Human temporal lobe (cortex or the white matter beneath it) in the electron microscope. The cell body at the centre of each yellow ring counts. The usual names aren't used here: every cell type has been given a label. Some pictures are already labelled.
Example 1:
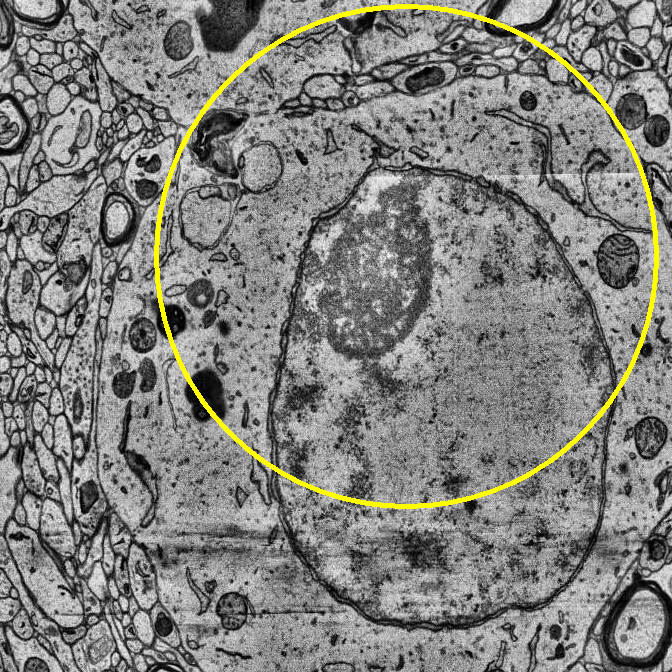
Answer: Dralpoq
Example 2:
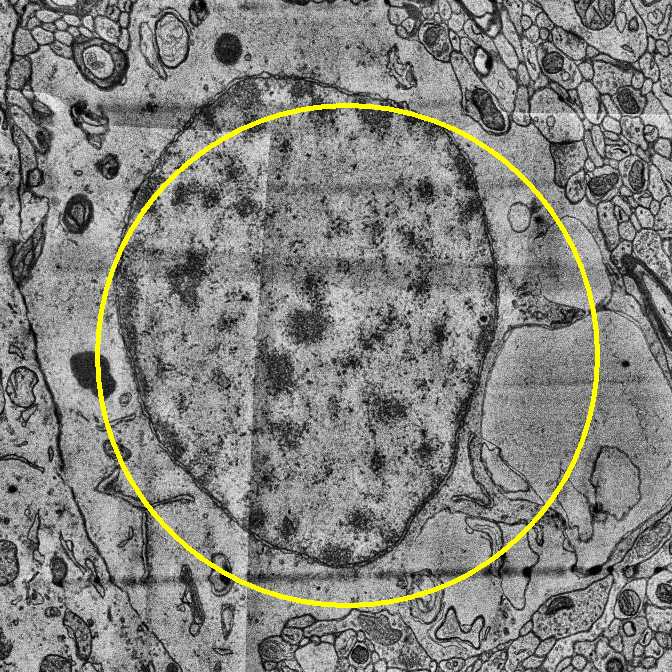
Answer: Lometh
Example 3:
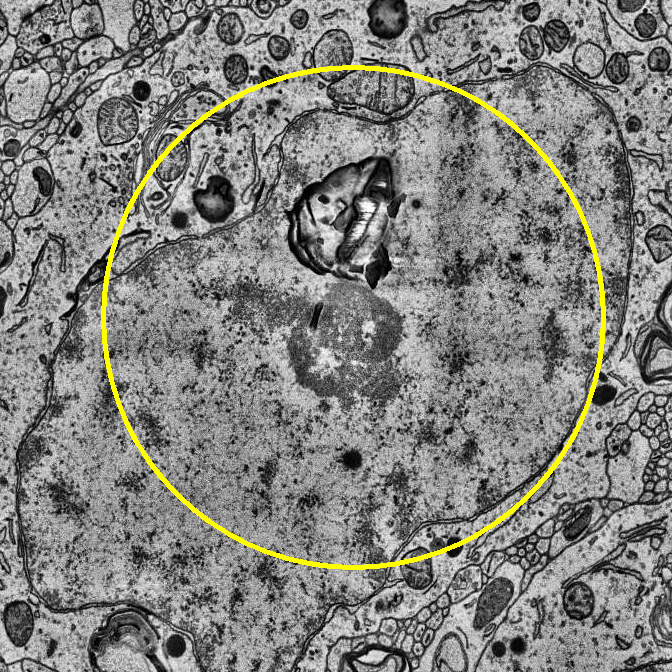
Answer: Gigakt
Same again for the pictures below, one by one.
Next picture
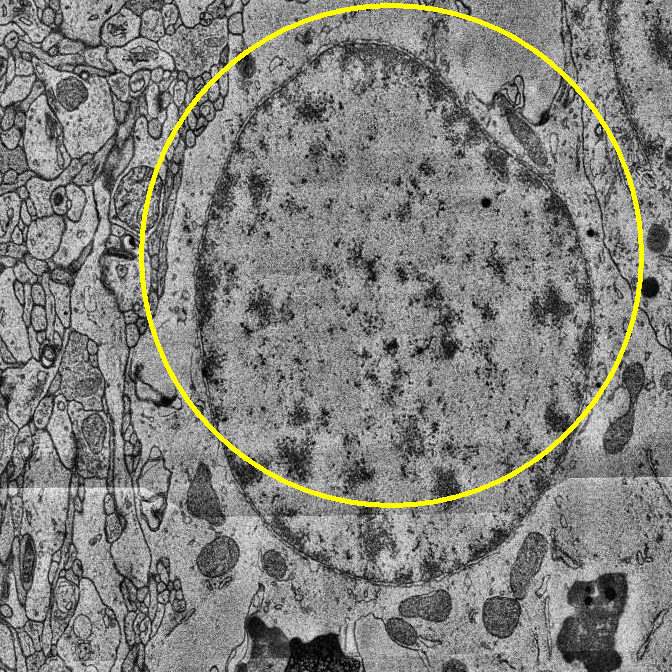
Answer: Lometh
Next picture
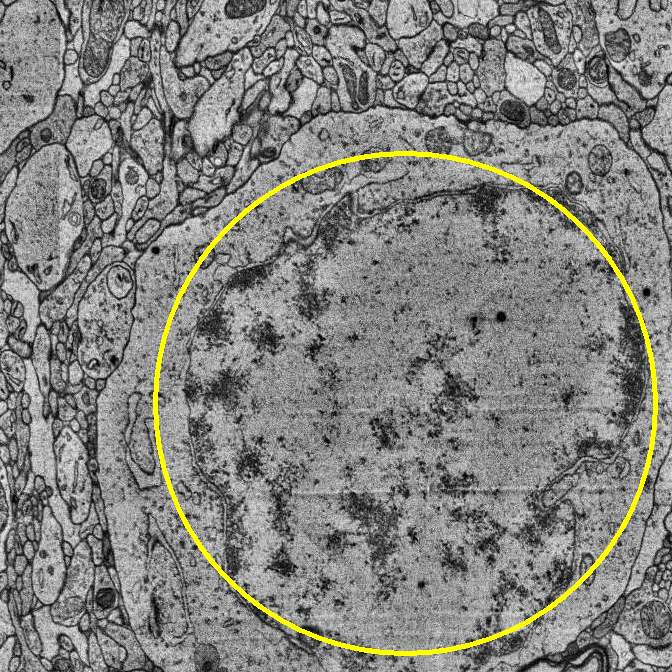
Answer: Gigakt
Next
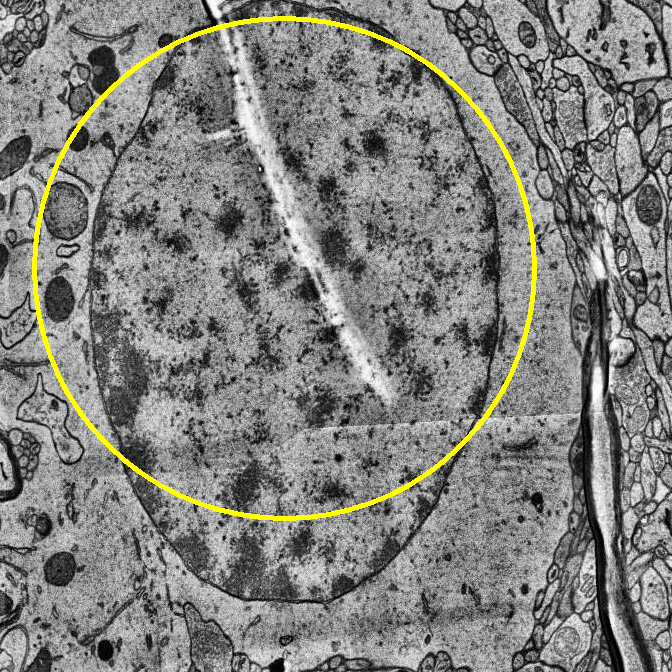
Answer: Lometh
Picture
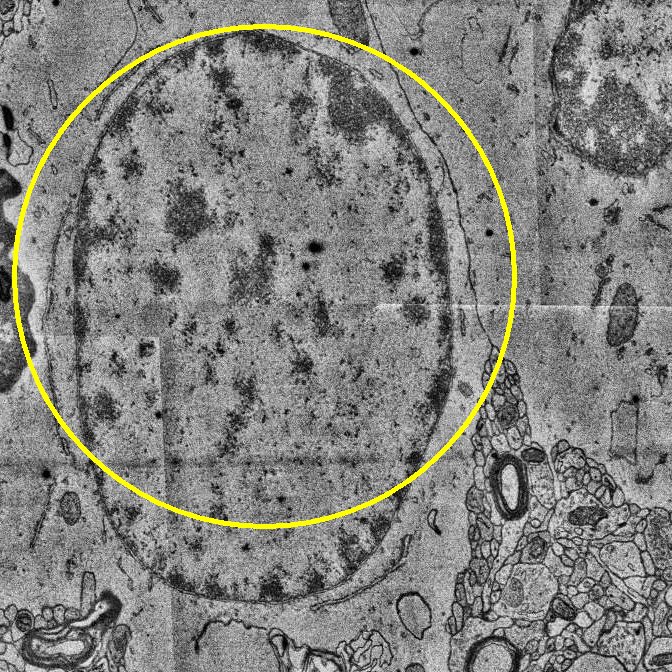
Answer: Lometh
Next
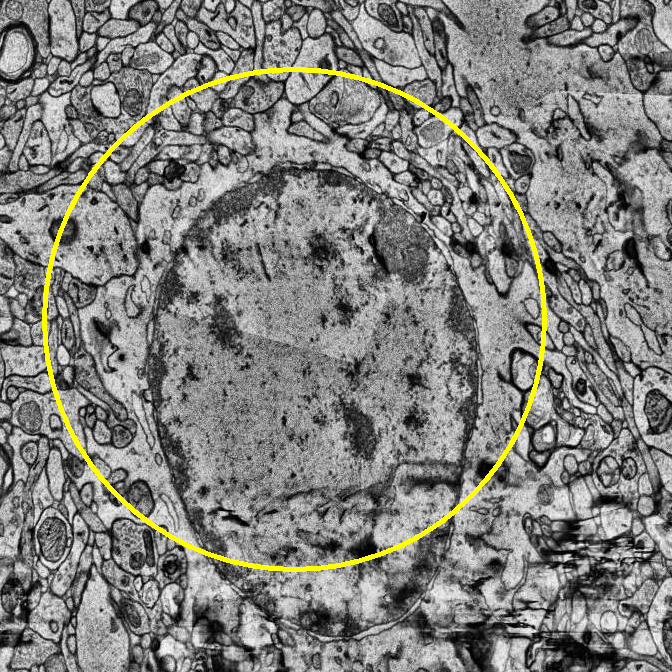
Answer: Lometh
